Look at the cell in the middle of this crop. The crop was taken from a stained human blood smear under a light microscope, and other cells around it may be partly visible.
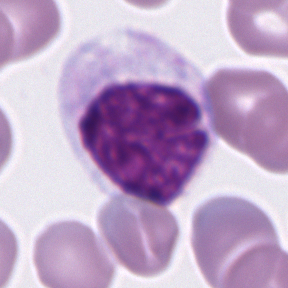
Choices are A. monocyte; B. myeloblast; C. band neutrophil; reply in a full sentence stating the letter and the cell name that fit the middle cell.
What sits in the middle of the crop is a band neutrophil, and option C is correct.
